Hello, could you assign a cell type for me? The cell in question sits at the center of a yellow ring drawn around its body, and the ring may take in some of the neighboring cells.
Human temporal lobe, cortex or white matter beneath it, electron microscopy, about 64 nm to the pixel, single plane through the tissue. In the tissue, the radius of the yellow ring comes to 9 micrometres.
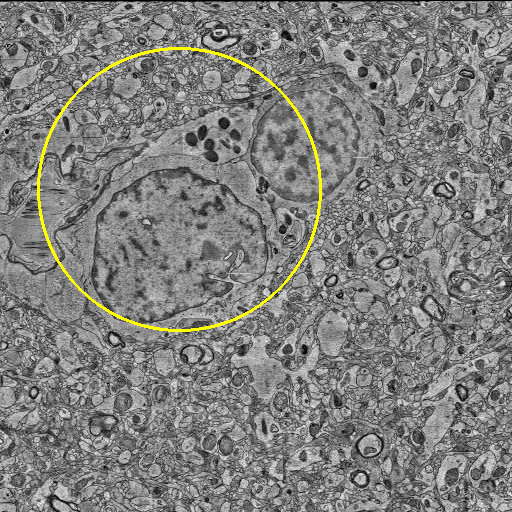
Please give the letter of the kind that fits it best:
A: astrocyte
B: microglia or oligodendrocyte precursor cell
B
